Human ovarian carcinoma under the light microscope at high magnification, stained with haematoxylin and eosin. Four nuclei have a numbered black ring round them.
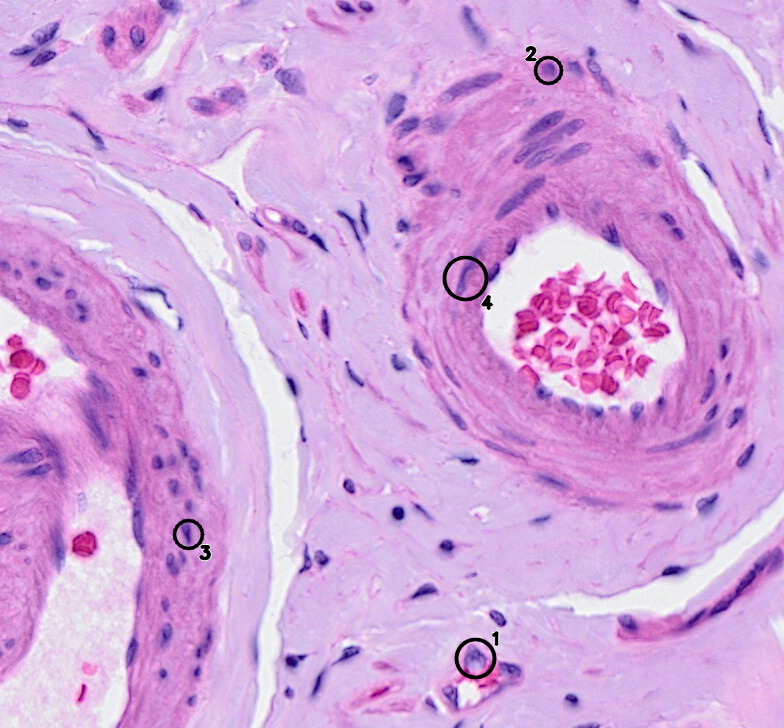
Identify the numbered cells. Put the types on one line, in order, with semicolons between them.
endothelial cell; smooth muscle cell; smooth muscle cell; smooth muscle cell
